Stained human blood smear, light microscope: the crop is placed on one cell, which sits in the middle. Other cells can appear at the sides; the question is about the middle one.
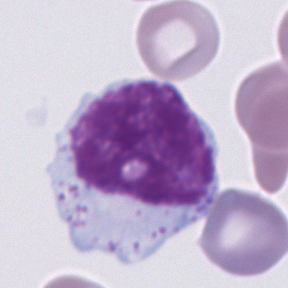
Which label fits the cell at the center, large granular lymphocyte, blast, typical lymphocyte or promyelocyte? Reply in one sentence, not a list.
The cell under consideration, at the middle of the crop, is a large granular lymphocyte.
